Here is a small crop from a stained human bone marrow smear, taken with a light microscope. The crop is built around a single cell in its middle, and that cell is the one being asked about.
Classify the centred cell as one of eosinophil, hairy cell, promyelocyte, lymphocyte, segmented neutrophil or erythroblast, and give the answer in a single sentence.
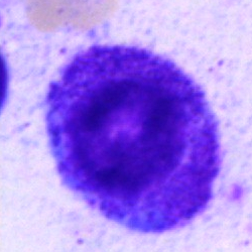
The cell that lies at the centre of the crop is a promyelocyte.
